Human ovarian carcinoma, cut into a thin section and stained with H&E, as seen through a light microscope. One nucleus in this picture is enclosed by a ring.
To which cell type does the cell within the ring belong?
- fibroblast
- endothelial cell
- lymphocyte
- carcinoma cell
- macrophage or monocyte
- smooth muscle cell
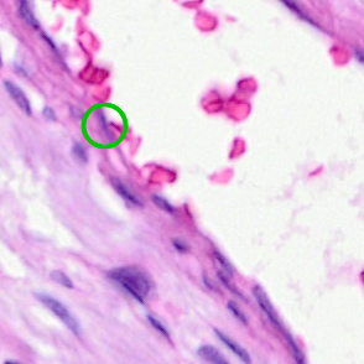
endothelial cell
